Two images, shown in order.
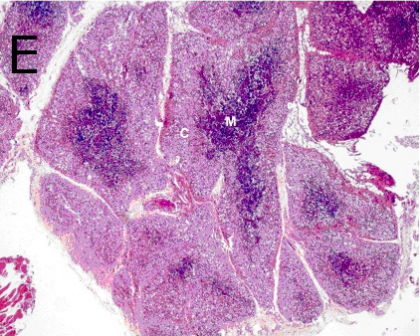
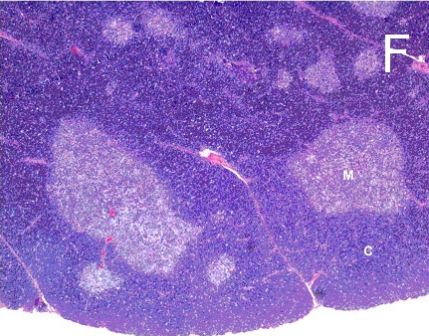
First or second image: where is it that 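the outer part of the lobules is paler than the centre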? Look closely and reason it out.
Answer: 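Second image: dense dark purple periphery around pale central islands. First image: pale pink periphery around darker purple centres of the lobules. The answer: the first image.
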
